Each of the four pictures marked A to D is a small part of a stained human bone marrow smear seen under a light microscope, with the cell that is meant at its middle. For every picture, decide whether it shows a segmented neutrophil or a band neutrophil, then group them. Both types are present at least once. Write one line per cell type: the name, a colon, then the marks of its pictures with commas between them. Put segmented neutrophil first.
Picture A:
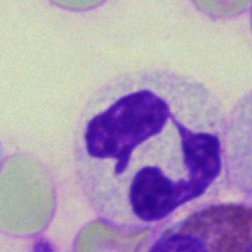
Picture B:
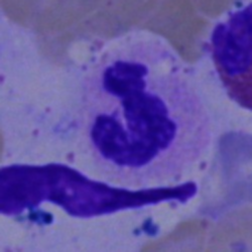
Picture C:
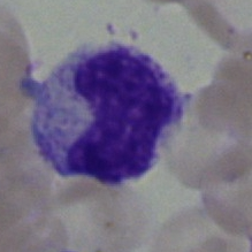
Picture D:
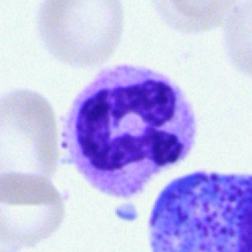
segmented neutrophil: A, B, D
band neutrophil: C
